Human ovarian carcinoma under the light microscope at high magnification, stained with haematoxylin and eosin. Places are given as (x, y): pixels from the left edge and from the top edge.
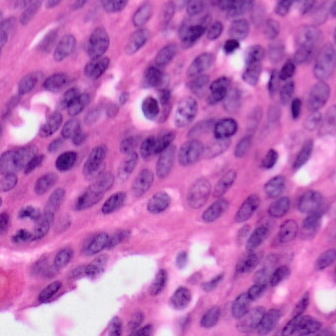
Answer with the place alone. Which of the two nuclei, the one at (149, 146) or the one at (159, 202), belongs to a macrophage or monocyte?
(159, 202)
